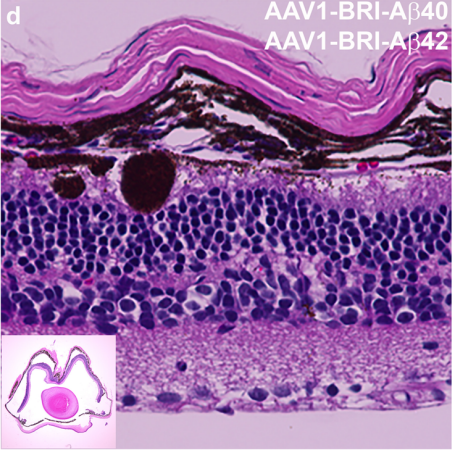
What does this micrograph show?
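This is a section through the retina stained with hematoxylin and eosin, with large dark deposits in its outer part. At the top, wavy pink fibrous layers of the eye wall overlie a band of dark brown pigment. Beneath the pigment, round and oval dark brown bodies of varying size sit where the photoreceptor segments would lie, the largest much wider than several nuclei. The band of photoreceptor segments is thin and disorganised, and the underlying layer of packed dark nuclei is irregular. Deeper, the layers of nuclei and the pale pink fibrous layer are less regular than in normal retina, with scattered clear spaces between cells.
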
